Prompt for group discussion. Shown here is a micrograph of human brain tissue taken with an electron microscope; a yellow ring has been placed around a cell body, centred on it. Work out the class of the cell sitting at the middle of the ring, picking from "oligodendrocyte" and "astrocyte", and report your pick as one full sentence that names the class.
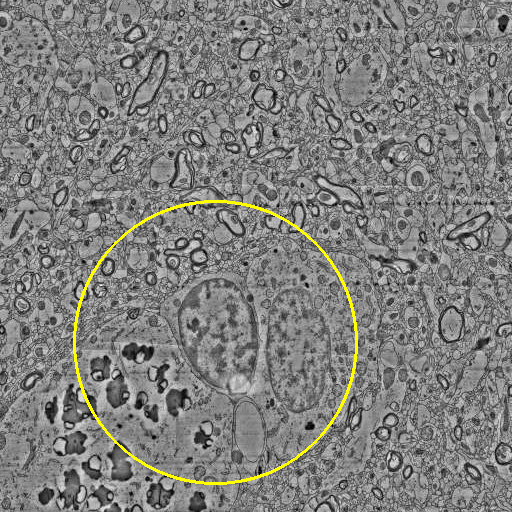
The cell sitting at the middle of the yellow ring is an oligodendrocyte.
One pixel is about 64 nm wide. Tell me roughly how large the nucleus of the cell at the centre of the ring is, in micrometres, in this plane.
The nucleus measures about 7 by 5 micrometres in this plane.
